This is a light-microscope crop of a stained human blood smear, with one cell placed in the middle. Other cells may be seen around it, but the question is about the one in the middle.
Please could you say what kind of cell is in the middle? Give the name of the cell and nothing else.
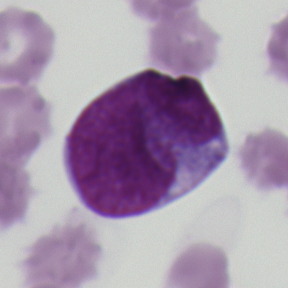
myeloblast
